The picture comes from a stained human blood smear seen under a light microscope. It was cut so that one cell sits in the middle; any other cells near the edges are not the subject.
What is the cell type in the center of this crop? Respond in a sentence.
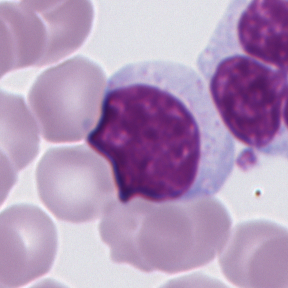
The cell found in the middle of this crop is a large granular lymphocyte.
